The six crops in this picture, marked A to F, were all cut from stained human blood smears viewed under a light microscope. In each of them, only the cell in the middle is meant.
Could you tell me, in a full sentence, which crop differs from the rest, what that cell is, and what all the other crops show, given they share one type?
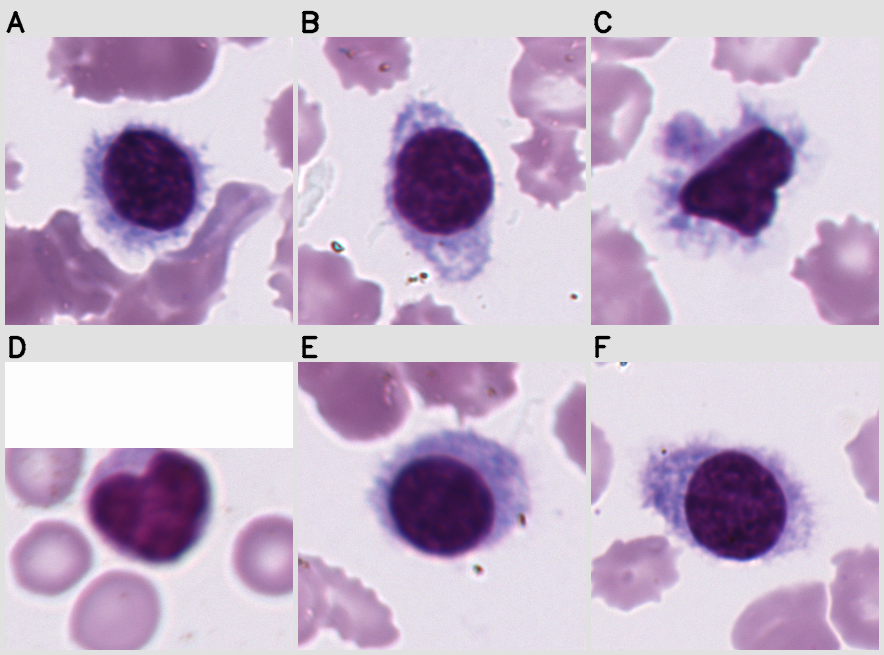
Here the outlier is crop D, which is a blast, and the rest are hairy cells.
